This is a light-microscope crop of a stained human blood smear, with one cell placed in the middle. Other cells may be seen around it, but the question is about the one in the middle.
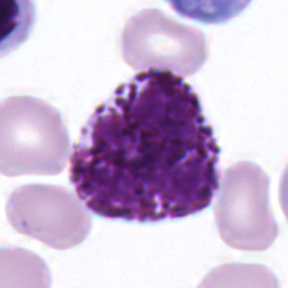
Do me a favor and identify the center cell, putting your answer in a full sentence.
Occupying the centre of the crop is a basophil.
